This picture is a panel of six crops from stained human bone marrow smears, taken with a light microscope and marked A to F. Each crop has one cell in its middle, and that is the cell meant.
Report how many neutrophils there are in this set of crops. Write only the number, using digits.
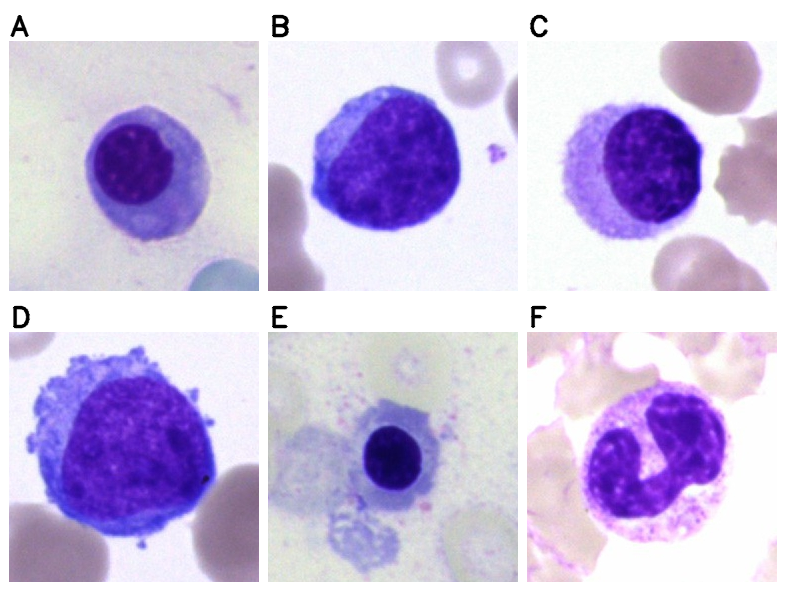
1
